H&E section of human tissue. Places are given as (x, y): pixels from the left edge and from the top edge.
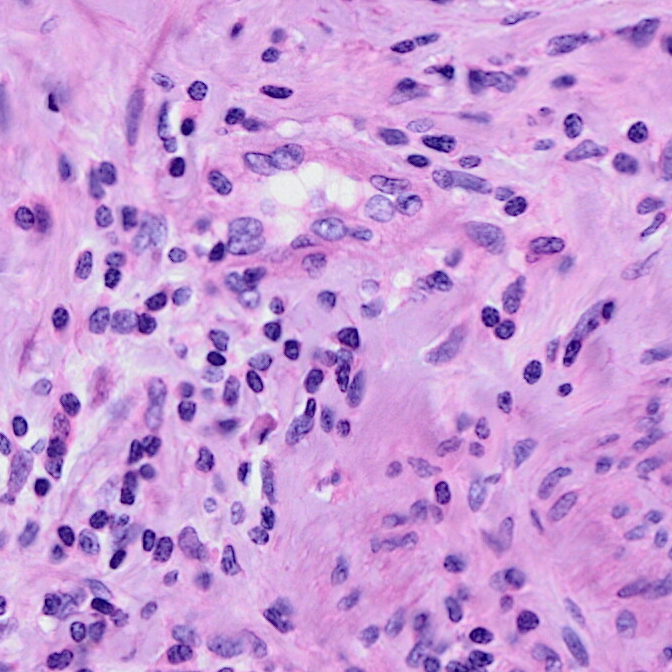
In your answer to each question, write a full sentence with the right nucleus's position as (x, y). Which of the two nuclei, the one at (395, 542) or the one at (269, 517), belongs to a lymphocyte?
It is at (269, 517) that the nucleus of a lymphocyte is found.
